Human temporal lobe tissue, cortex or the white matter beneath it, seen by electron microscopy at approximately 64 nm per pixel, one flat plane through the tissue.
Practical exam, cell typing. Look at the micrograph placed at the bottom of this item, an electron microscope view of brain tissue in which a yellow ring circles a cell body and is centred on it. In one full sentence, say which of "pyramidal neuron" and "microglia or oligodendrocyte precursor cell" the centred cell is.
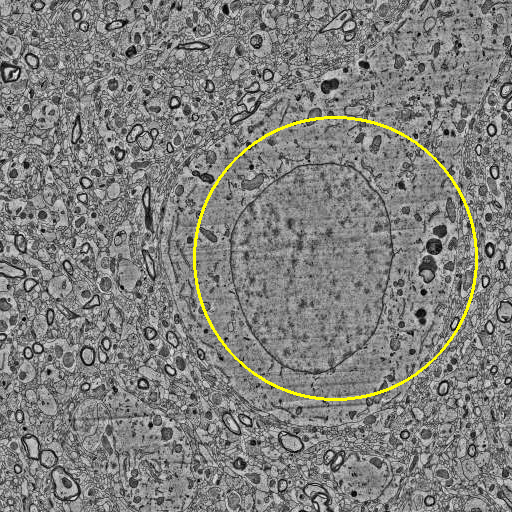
Given the options, a pyramidal neuron fits the cell whose body the yellow ring is centred on.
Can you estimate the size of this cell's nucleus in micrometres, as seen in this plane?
Approximately 14 by 11 micrometers in this plane.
